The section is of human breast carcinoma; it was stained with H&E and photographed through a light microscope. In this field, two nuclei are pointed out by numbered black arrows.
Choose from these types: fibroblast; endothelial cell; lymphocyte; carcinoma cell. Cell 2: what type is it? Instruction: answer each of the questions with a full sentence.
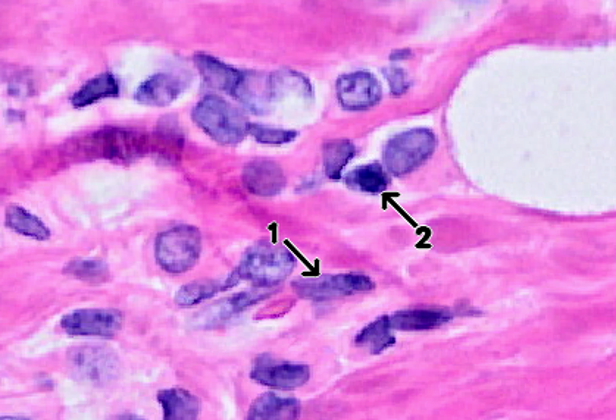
Cell 2 should be recorded as a lymphocyte.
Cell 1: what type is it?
In this section, number 1 marks an endothelial cell.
